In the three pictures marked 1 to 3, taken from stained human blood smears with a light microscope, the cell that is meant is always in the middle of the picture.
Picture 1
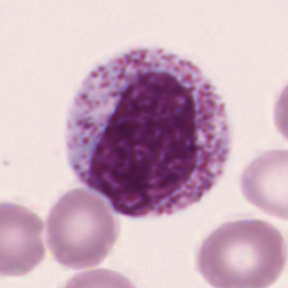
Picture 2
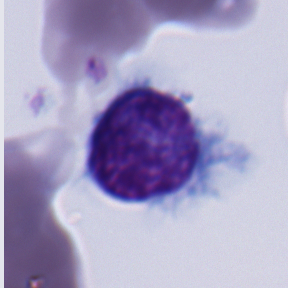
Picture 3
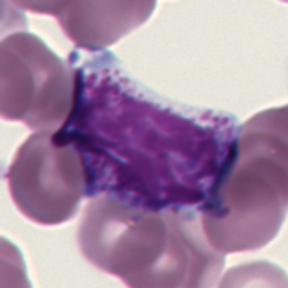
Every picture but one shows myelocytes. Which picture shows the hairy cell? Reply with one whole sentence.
The picture with the hairy cell is 2.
